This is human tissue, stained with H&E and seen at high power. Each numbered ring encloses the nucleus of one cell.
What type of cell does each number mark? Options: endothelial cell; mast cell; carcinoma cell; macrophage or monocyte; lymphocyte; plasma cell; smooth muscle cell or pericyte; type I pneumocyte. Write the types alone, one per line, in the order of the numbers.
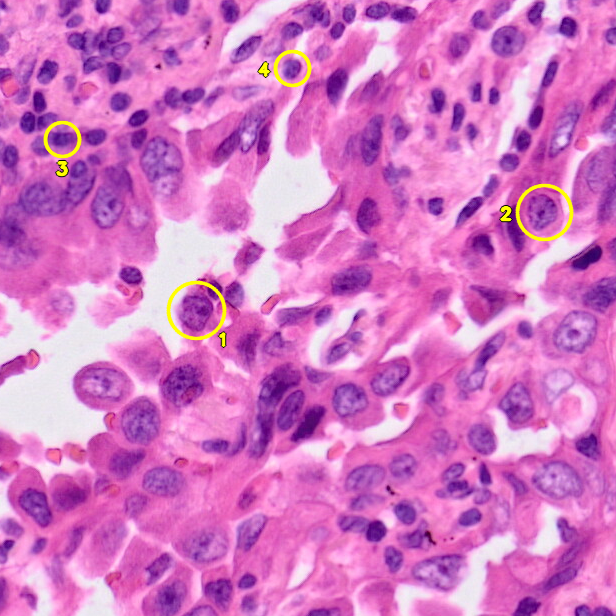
carcinoma cell
carcinoma cell
lymphocyte
lymphocyte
